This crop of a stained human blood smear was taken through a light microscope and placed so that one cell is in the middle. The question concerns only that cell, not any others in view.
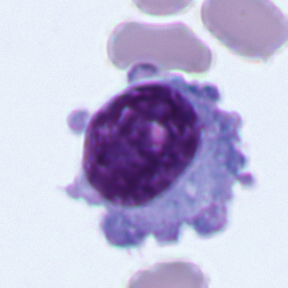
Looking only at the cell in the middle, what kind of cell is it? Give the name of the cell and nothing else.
plasma cell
